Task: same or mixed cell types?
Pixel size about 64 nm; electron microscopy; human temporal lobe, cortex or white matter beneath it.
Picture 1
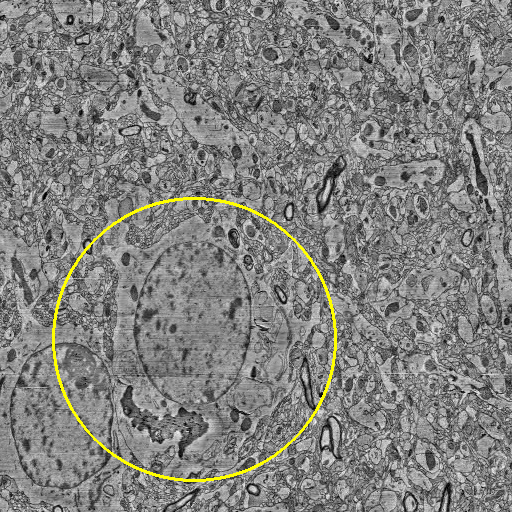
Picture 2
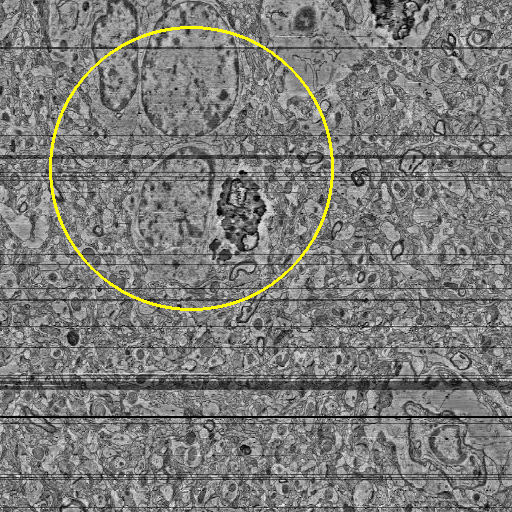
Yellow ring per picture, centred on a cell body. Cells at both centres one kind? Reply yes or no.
no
